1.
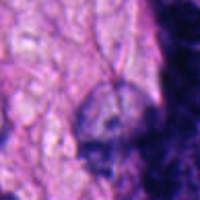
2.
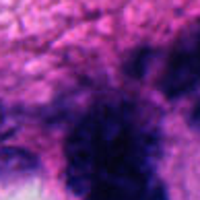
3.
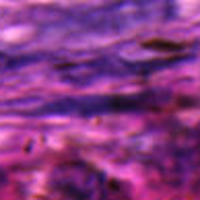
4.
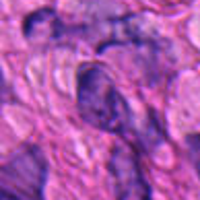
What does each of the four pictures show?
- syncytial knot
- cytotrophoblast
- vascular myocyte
(1) cytotrophoblast
(2) syncytial knot
(3) vascular myocyte
(4) vascular myocyte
